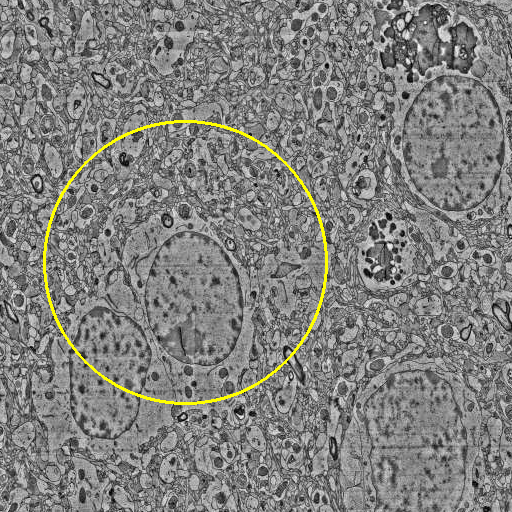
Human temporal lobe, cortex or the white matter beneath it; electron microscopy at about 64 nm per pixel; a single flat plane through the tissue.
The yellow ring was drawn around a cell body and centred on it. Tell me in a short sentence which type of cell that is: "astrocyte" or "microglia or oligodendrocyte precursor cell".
The cell at the ring's centre is an astrocyte.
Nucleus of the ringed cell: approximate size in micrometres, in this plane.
The nucleus appears roughly 9 by 6 micrometres in this plane.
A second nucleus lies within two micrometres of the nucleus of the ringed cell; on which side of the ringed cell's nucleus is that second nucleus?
That second nucleus is to the lower left of it.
